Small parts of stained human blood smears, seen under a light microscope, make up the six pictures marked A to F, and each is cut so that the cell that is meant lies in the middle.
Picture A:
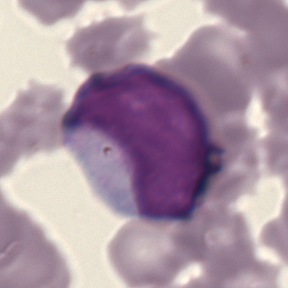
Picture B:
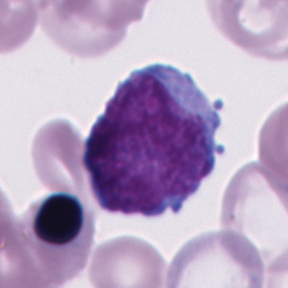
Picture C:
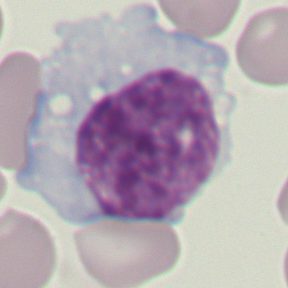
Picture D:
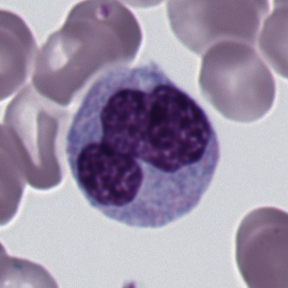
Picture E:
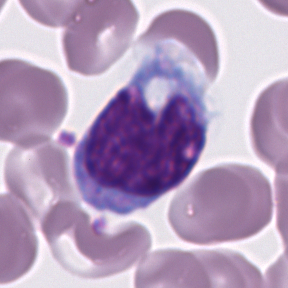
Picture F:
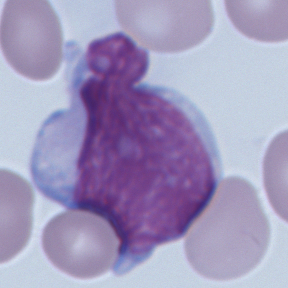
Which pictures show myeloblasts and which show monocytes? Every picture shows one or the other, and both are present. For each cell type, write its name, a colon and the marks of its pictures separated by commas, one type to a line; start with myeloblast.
myeloblast: A, B, C, F
monocyte: D, E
